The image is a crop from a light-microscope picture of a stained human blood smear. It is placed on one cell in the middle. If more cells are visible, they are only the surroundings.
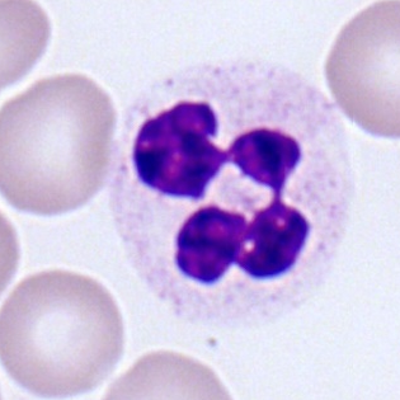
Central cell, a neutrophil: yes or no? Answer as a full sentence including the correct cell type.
Yes, that middle cell in the crop is a neutrophil.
